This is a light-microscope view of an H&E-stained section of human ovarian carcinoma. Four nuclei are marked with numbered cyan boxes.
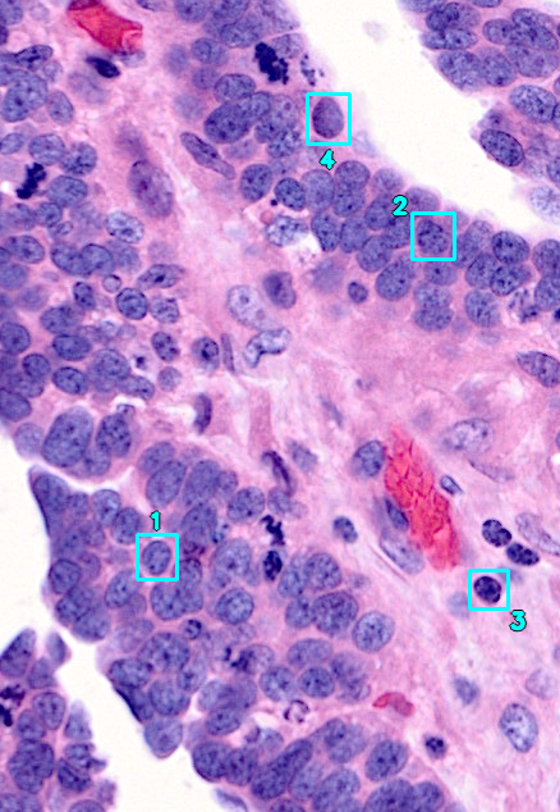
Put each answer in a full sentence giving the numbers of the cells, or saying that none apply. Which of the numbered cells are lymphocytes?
Only nucleus 3 belongs to a lymphocyte; the other numbered nuclei do not.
